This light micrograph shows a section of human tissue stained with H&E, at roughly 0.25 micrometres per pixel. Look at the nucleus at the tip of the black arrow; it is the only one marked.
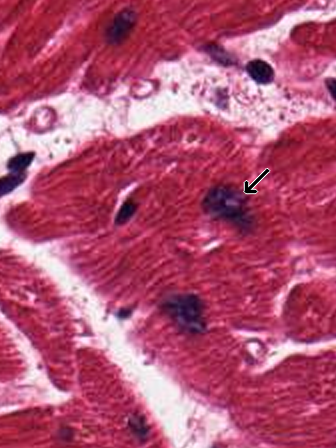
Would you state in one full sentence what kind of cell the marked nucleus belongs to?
To a cardiomyocyte belongs the marked nucleus.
